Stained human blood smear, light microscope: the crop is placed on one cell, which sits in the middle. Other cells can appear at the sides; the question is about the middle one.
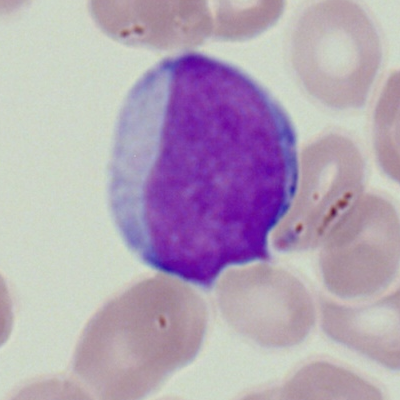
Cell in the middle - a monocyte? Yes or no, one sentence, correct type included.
No, that is not a monocyte; the middle cell is a myeloblast.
